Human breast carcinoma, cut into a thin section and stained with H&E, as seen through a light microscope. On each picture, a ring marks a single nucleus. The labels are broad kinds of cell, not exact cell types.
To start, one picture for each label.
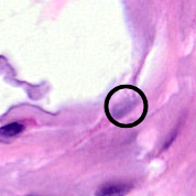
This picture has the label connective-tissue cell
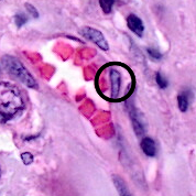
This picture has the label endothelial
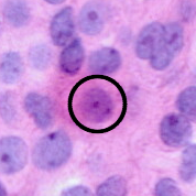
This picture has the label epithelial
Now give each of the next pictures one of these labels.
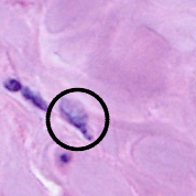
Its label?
connective-tissue cell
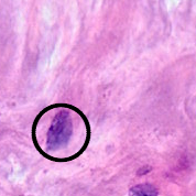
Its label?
connective-tissue cell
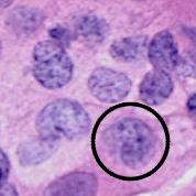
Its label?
epithelial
